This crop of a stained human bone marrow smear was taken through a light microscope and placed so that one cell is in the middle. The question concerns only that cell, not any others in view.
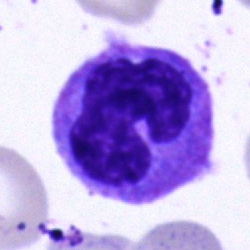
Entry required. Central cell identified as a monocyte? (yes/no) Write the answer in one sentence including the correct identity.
Yes, at the centre of the crop lies a monocyte.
